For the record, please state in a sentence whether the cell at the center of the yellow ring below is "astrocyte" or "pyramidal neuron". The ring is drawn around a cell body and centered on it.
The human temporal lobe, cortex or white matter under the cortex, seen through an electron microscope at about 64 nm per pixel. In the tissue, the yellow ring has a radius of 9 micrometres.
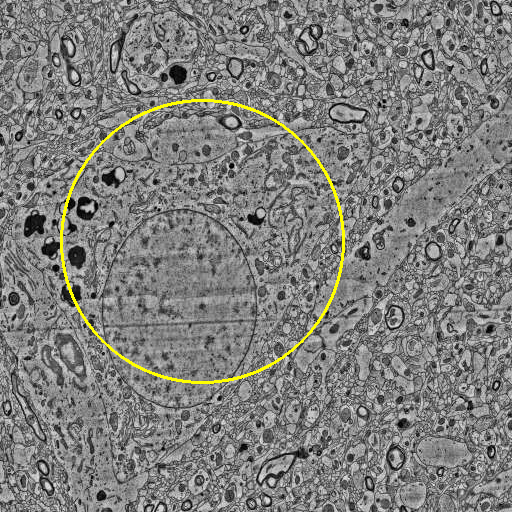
The cell at the ring's center is a pyramidal neuron.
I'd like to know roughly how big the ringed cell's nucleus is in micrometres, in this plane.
Roughly 13 by 10 micrometres in this plane, for the nucleus of the ringed cell.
